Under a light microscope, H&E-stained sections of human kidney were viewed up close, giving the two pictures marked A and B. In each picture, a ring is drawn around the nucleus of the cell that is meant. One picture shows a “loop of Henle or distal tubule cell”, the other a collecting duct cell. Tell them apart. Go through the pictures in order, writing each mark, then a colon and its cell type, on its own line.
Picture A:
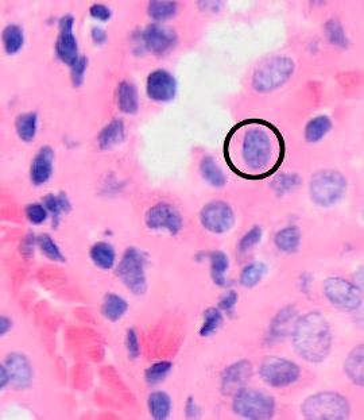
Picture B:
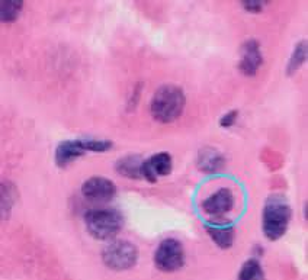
A: loop of Henle or distal tubule cell
B: collecting duct cell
